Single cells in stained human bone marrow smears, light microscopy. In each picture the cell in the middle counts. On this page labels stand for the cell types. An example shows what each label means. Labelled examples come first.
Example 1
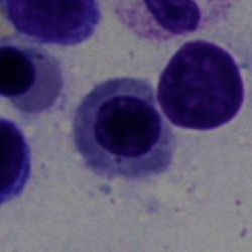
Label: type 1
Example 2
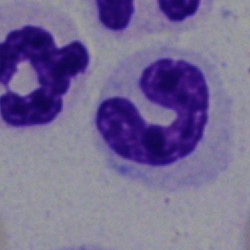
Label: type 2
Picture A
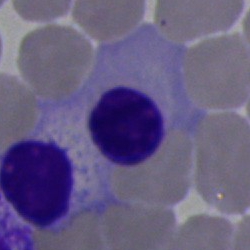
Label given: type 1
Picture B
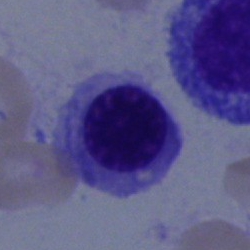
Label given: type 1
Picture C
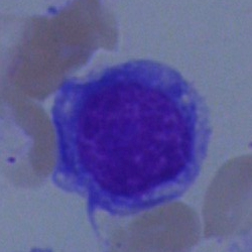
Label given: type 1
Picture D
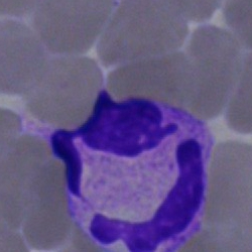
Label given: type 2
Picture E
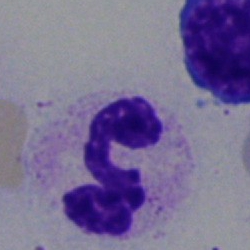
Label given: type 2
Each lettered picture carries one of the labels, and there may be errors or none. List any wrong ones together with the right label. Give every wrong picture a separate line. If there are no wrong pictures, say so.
All labels are correct.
